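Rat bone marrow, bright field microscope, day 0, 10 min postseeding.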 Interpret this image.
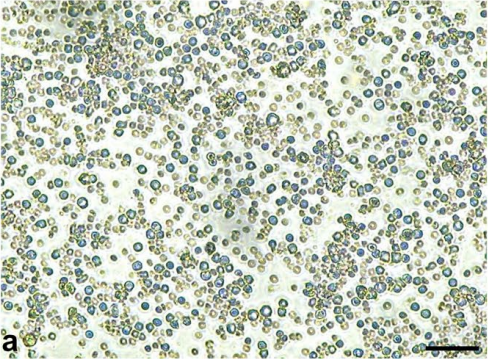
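All cells are small and round, with none spread out or elongated. They differ in size and in shade: many are darker grey-blue, others smaller and paler. The cells lie singly or touching in loose clusters, with only small gaps of clear background between them.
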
